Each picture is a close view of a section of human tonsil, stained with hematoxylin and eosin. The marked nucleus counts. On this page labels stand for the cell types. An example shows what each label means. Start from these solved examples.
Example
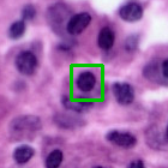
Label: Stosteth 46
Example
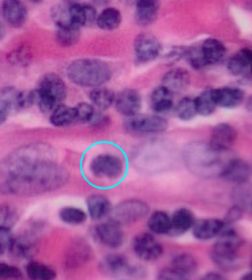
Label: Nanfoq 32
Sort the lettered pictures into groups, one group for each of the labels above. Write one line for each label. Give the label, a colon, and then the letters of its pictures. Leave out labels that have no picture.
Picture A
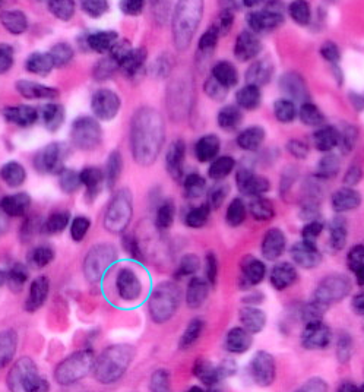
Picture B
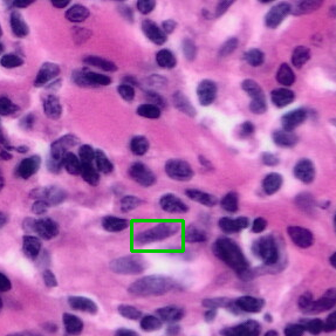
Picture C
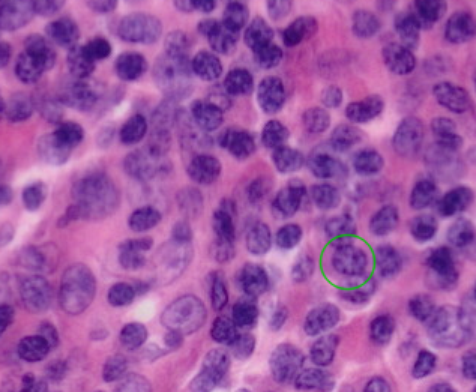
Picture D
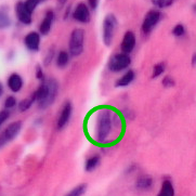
Stosteth 46: C
Nanfoq 32: A, B, D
